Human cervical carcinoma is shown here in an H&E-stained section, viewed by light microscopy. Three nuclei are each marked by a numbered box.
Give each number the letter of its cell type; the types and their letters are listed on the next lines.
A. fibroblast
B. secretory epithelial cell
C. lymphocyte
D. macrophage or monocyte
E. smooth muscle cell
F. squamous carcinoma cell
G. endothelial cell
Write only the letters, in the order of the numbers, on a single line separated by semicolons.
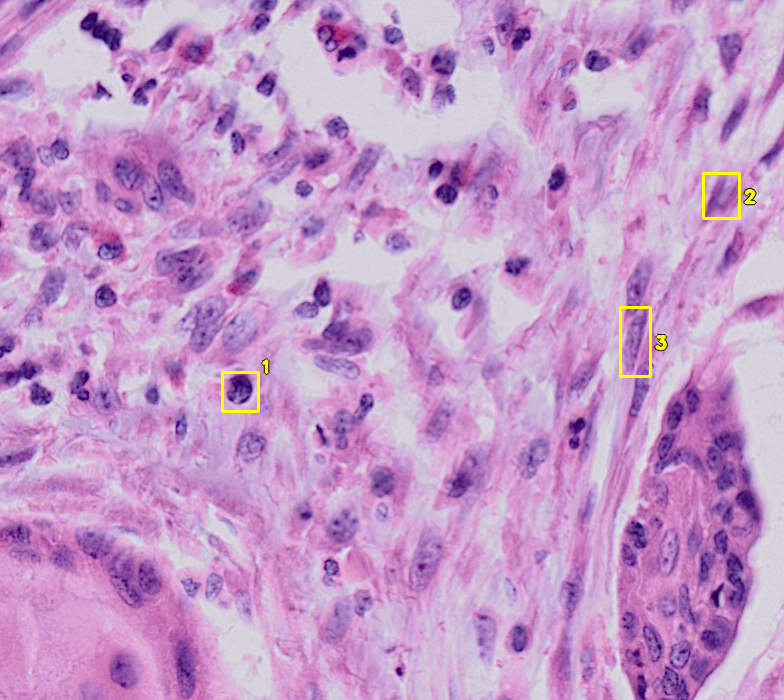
C; A; A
